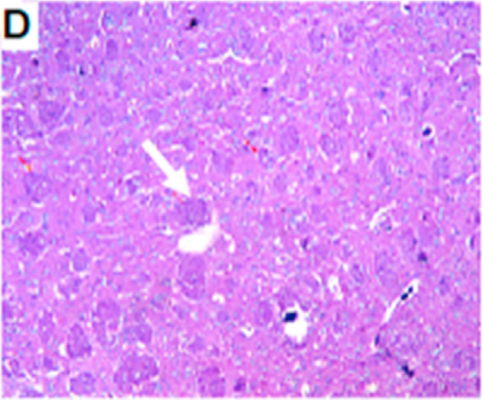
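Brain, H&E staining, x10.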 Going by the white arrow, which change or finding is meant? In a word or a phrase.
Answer: Eosinophilic plagues.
